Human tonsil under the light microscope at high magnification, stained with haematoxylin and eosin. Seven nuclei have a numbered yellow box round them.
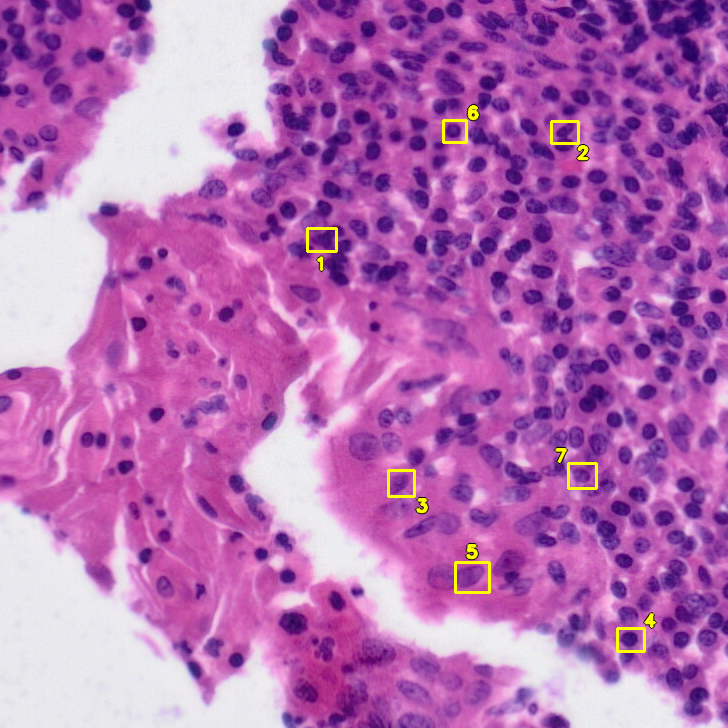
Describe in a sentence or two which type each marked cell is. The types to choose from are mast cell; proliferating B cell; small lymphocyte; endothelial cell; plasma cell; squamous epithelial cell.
Cell 1 is a squamous epithelial cell, cell 2 is a plasma cell, cell 3 is a squamous epithelial cell, cell 4 is a plasma cell, cell 5 is a squamous epithelial cell, cell 6 is a plasma cell and cell 7 is a plasma cell.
